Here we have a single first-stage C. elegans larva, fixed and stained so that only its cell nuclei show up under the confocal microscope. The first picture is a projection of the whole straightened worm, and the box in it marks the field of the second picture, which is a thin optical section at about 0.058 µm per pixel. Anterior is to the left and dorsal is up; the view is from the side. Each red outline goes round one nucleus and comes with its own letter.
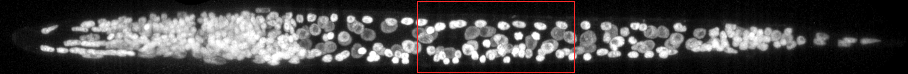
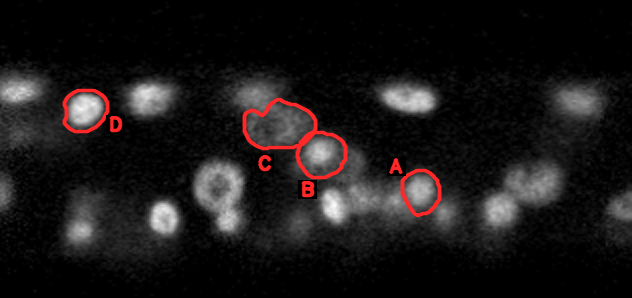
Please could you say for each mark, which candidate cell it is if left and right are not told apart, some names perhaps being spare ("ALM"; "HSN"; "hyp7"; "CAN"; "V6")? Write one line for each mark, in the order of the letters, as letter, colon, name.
A: HSN
B: CAN
C: hyp7
D: ALM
